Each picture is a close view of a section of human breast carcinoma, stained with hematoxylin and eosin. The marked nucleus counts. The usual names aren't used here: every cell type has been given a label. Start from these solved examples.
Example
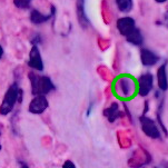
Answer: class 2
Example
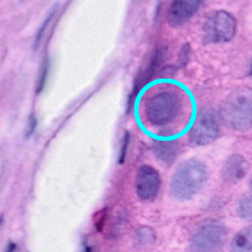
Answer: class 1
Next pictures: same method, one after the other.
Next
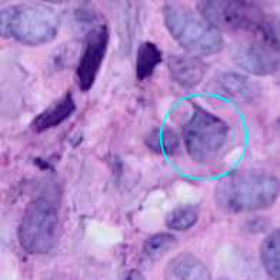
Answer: class 1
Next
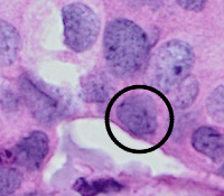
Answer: class 1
